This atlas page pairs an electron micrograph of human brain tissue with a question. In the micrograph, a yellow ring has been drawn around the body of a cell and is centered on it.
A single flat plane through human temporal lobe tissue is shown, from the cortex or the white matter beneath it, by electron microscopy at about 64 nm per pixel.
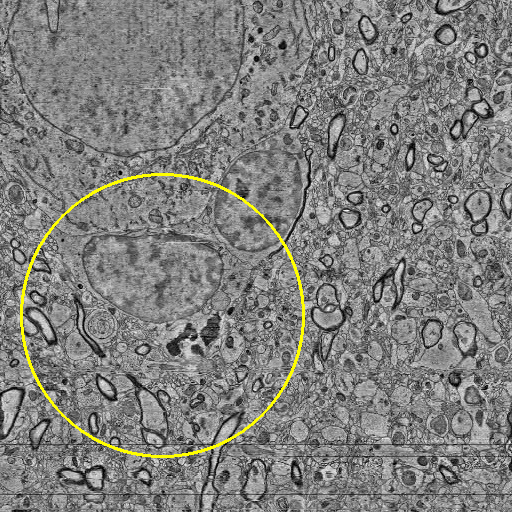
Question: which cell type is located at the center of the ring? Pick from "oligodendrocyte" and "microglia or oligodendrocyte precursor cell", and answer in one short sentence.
Located at the center of the ring is an oligodendrocyte.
